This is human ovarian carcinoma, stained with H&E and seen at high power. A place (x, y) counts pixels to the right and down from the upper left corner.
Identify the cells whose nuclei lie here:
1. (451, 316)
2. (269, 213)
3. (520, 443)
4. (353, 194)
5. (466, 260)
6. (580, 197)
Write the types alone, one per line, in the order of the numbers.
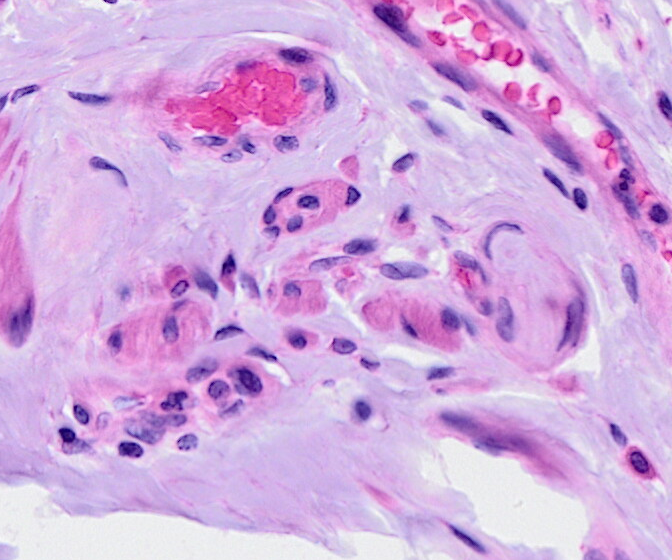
smooth muscle cell
smooth muscle cell
endothelial cell
smooth muscle cell
endothelial cell
lymphocyte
